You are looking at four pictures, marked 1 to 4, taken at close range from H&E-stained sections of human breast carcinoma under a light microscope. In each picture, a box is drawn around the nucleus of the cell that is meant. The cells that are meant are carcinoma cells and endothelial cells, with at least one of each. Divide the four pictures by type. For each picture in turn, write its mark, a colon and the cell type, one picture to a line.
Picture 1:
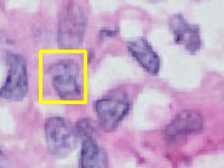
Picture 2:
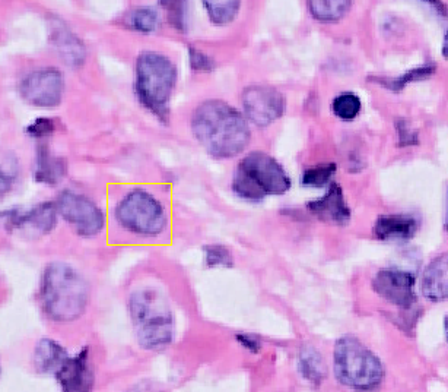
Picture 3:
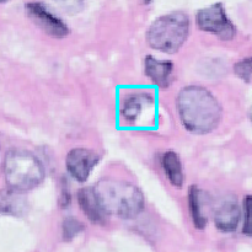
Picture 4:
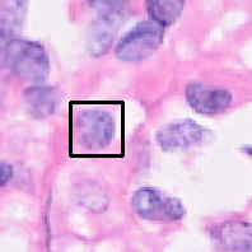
1: carcinoma cell
2: carcinoma cell
3: endothelial cell
4: carcinoma cell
